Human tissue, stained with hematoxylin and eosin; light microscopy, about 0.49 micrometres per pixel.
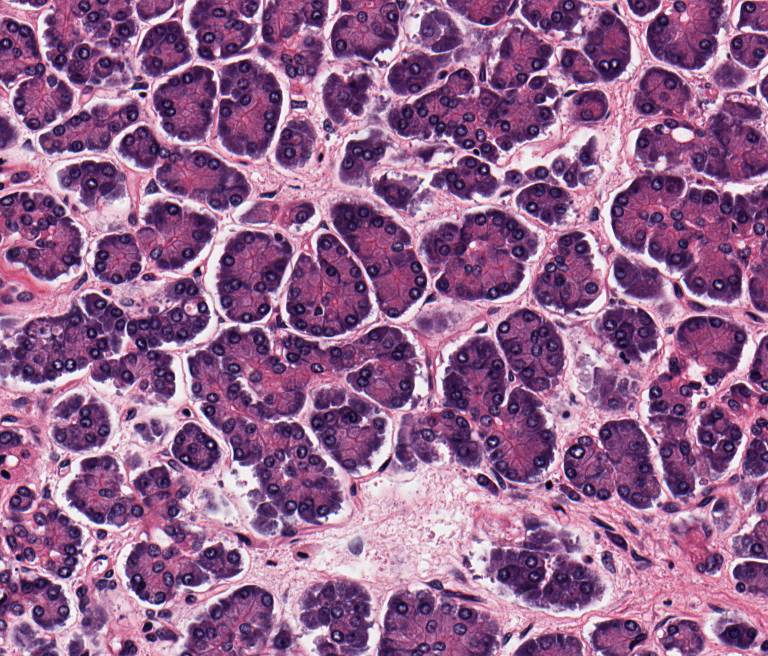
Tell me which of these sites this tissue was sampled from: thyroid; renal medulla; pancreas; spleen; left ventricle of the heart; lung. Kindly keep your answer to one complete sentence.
From the pancreas was taken the tissue in this section.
